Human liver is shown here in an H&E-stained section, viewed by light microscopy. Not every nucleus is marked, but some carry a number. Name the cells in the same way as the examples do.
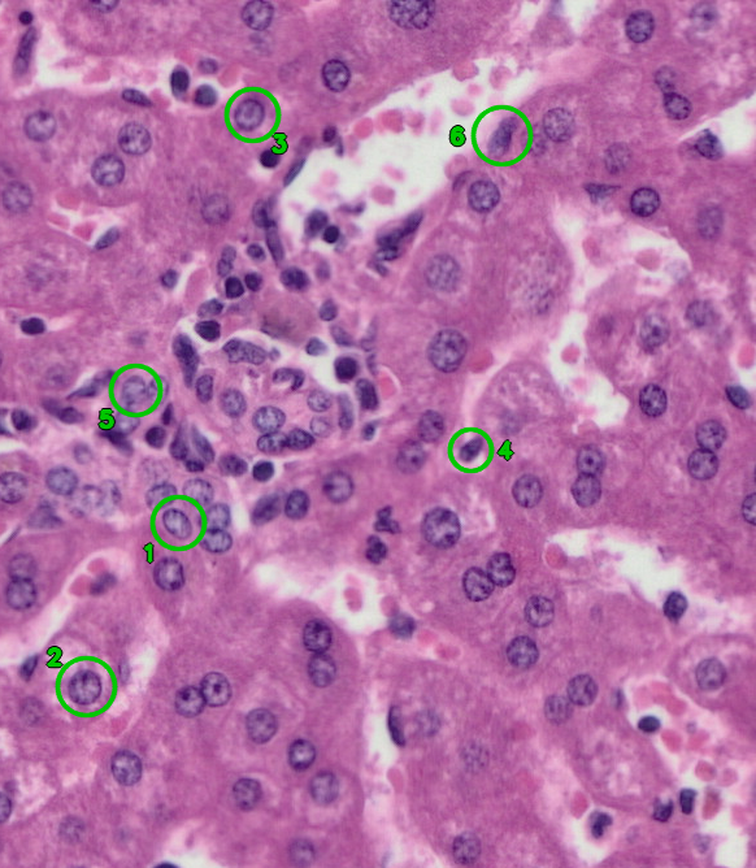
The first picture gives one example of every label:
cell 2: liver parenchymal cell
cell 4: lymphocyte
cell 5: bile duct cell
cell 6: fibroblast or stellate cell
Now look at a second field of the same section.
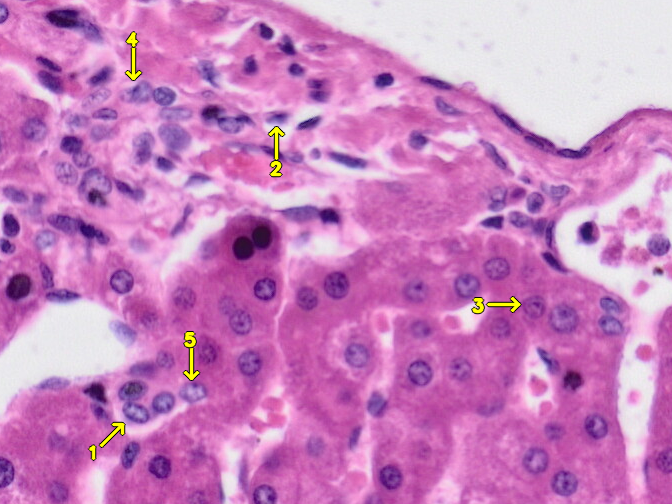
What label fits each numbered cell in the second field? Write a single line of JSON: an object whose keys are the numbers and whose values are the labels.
{"1": "bile duct cell", "2": "fibroblast or stellate cell", "3": "liver parenchymal cell", "4": "bile duct cell", "5": "bile duct cell"}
